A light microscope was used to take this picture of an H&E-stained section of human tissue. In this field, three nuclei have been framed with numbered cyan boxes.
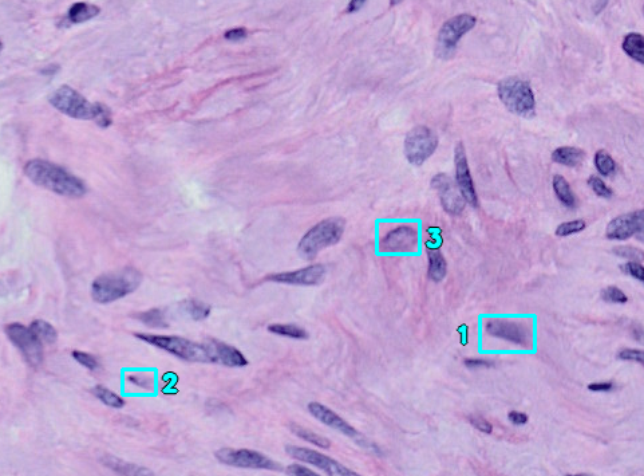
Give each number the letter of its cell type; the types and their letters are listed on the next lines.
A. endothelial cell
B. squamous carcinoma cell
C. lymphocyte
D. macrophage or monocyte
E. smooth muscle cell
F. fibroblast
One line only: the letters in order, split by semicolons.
F; E; E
